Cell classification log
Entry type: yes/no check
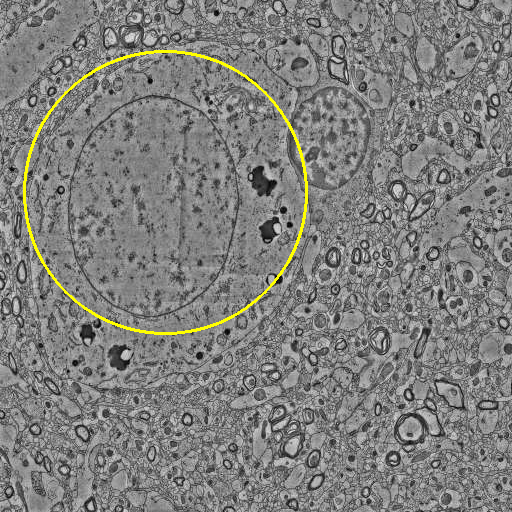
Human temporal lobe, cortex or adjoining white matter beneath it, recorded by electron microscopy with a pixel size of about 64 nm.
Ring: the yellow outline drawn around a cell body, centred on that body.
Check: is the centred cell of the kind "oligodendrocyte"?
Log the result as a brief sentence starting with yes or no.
No, the cell is of another kind.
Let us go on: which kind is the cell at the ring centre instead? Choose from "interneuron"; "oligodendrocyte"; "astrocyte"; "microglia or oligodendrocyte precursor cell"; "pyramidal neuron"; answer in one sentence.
So the cell at the centre is a pyramidal neuron.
